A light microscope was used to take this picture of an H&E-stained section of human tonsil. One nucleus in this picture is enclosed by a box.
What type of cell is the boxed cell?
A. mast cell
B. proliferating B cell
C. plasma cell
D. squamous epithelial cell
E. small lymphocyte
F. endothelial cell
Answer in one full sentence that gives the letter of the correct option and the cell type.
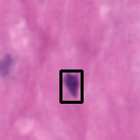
Option A is the correct one: the boxed cell is a mast cell.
